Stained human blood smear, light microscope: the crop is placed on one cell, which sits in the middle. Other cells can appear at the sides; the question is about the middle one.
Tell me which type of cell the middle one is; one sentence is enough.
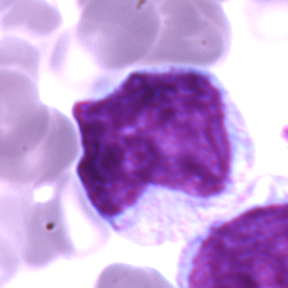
The cell shown in the center of this light-microscope crop is a band neutrophil.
